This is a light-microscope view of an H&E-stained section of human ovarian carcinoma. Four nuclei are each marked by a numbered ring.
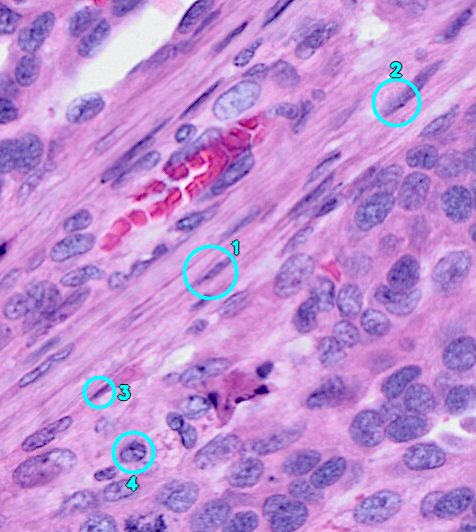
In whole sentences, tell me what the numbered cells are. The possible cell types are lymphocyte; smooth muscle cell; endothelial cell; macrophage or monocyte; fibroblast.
Cells 1, 2 and 3 are fibroblasts. Cell 4 is a macrophage or monocyte.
